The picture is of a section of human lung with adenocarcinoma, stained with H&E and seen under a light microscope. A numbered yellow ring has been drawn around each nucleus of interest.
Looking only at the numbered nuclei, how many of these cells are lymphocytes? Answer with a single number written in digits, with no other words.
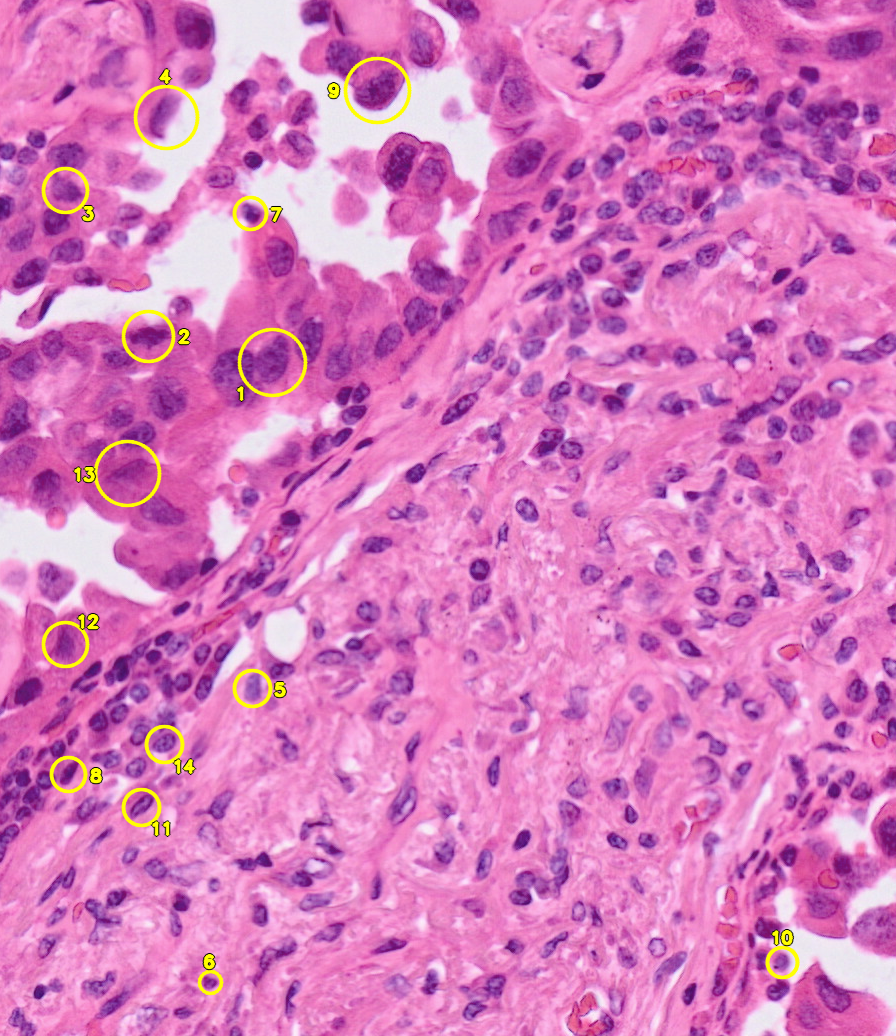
3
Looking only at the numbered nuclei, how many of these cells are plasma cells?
4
